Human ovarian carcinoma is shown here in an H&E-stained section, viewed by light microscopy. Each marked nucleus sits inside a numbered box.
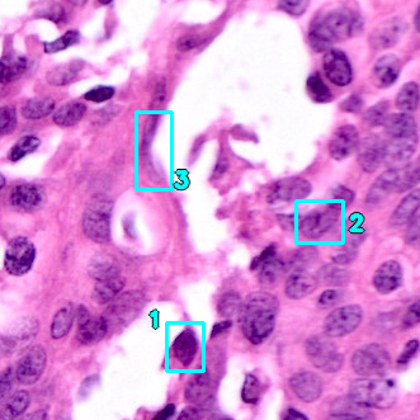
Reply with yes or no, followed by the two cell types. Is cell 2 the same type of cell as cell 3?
No, cell 3 is an endothelial cell, and cell 2 is a carcinoma cell.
